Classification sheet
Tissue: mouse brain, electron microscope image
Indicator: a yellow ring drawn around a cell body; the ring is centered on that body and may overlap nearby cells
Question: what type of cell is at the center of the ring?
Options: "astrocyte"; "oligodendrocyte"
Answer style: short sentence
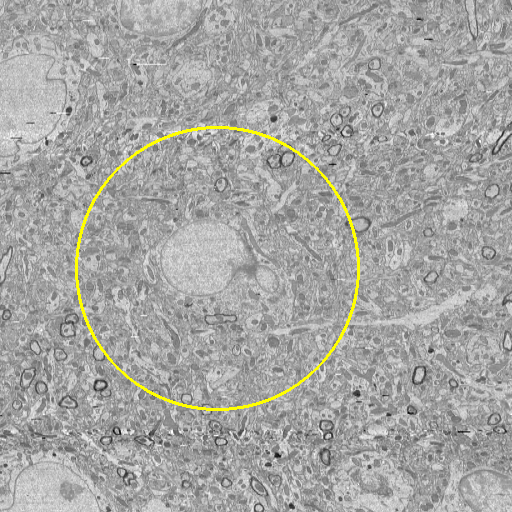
At the ring's center is an astrocyte.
